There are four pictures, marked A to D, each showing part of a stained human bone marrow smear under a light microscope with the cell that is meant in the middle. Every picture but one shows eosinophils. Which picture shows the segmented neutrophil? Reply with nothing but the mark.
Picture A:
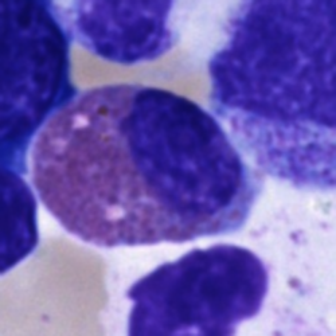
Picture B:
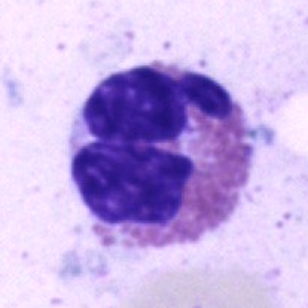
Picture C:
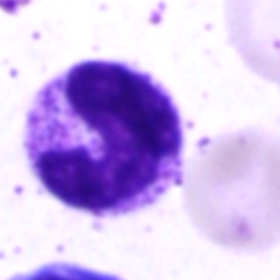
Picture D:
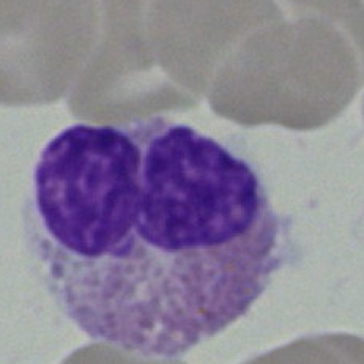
C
